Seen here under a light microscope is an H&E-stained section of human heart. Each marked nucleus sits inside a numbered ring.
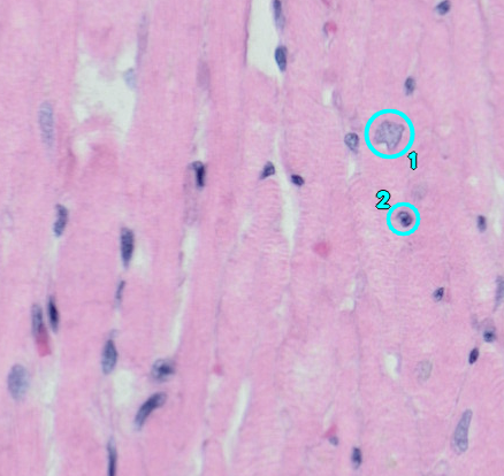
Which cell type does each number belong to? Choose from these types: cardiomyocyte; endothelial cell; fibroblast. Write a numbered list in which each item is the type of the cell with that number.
1. cardiomyocyte
2. endothelial cell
